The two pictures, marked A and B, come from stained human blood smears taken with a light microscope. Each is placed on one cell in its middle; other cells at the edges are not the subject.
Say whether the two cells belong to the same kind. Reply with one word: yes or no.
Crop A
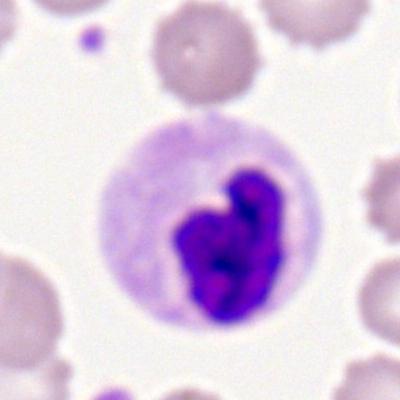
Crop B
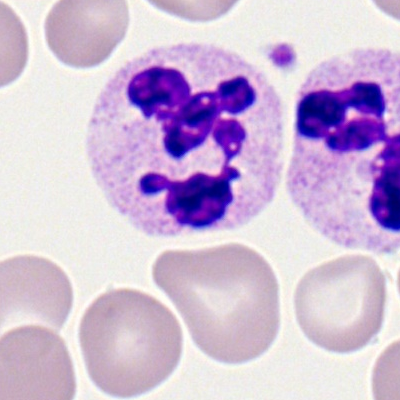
yes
